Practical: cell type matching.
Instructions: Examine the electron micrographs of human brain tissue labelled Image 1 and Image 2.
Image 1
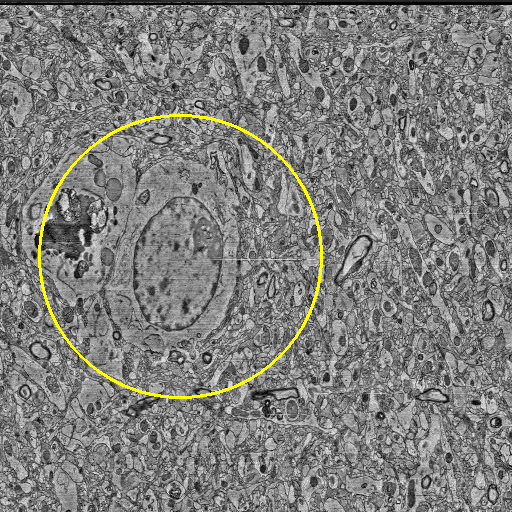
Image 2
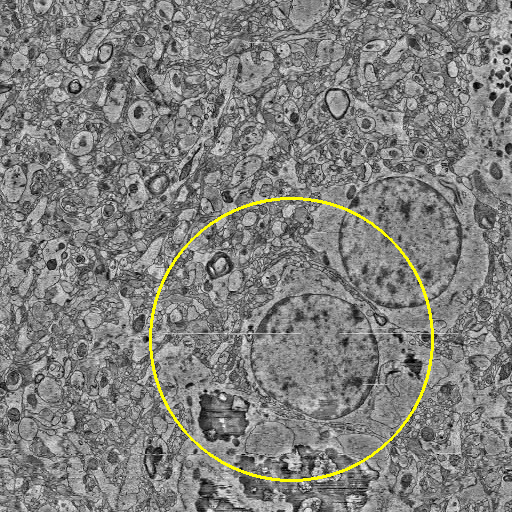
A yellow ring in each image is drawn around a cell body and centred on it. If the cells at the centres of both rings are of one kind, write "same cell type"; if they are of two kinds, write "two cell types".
same cell type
